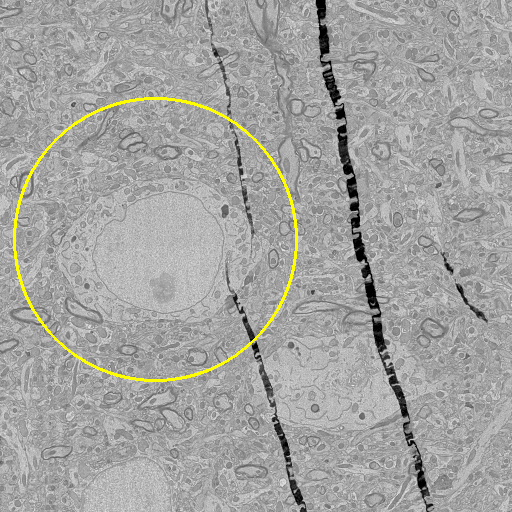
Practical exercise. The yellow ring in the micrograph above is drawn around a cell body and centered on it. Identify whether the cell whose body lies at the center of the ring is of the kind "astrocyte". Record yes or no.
no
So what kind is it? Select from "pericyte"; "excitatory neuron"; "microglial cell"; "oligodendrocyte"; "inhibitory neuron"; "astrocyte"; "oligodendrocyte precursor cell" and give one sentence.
The ringed cell in this picture is, instead, an excitatory neuron.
